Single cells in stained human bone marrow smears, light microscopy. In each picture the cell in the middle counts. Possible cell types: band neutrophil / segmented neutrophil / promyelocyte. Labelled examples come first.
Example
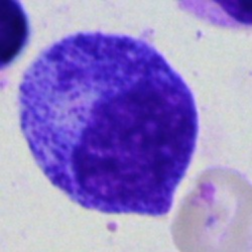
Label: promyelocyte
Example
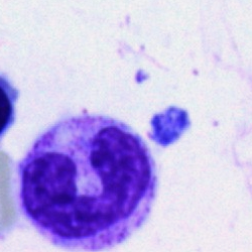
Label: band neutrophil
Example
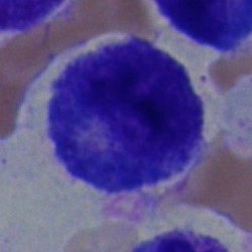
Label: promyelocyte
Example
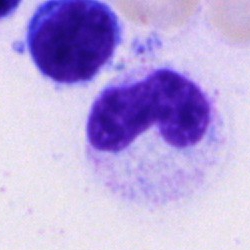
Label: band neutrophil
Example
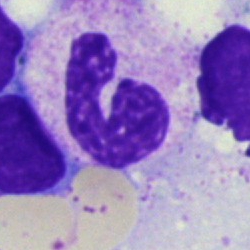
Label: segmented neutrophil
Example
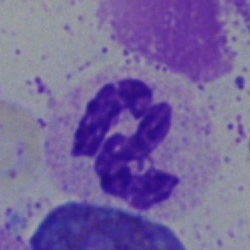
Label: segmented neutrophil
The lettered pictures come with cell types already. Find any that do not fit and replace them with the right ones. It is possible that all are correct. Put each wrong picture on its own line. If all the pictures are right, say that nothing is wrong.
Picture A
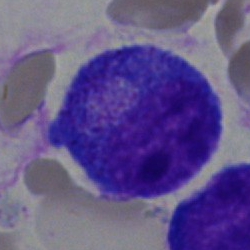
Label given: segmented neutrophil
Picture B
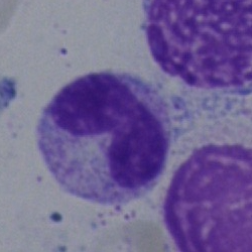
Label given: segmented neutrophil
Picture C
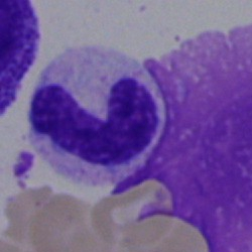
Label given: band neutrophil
A: not segmented neutrophil but promyelocyte
B: not segmented neutrophil but band neutrophil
